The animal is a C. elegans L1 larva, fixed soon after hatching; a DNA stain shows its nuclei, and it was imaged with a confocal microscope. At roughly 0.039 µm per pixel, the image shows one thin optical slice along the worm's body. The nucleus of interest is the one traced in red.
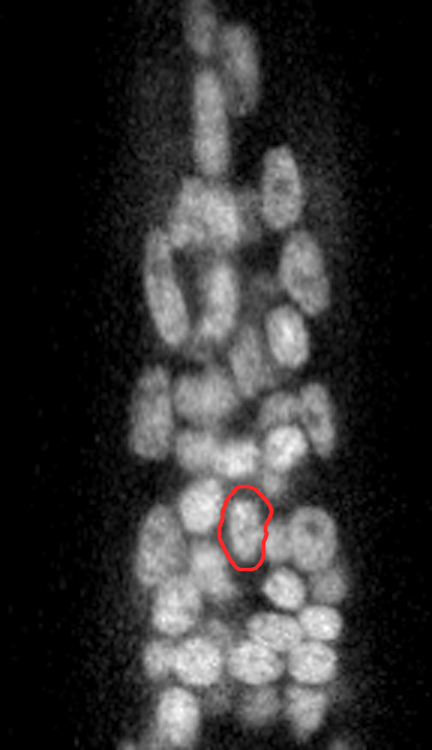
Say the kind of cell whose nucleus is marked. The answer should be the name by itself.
pharyngeal muscle cell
